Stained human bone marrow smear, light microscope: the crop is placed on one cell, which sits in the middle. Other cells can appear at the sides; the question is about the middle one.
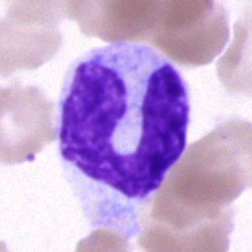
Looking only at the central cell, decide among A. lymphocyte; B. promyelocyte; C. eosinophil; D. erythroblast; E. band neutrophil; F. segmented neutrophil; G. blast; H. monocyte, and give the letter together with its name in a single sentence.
Identified correctly by option E, the cell in the middle is a band neutrophil.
